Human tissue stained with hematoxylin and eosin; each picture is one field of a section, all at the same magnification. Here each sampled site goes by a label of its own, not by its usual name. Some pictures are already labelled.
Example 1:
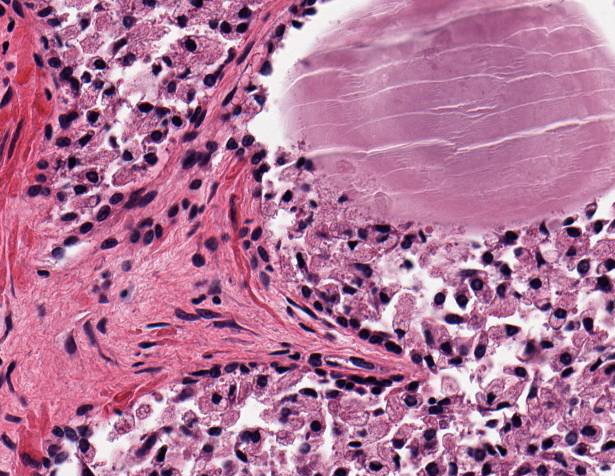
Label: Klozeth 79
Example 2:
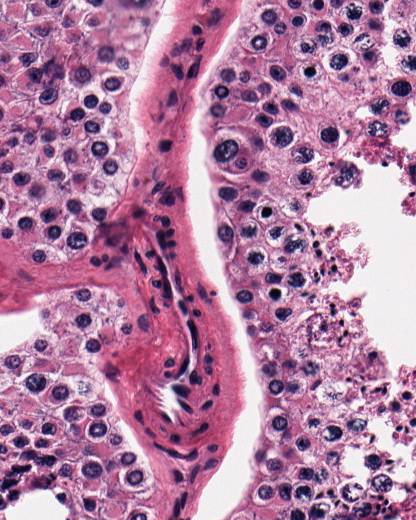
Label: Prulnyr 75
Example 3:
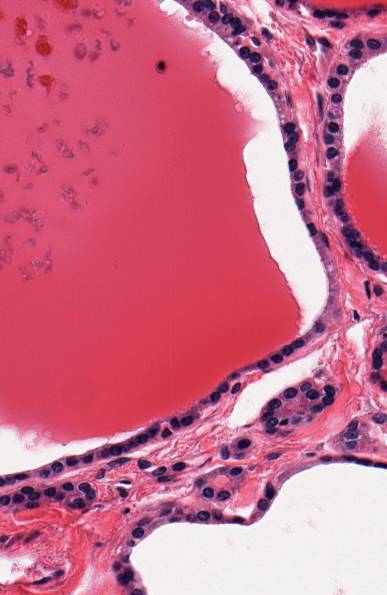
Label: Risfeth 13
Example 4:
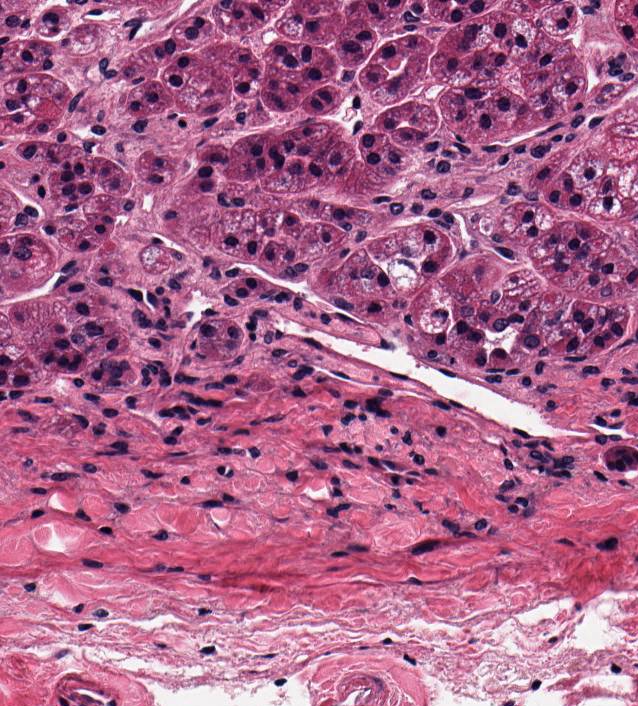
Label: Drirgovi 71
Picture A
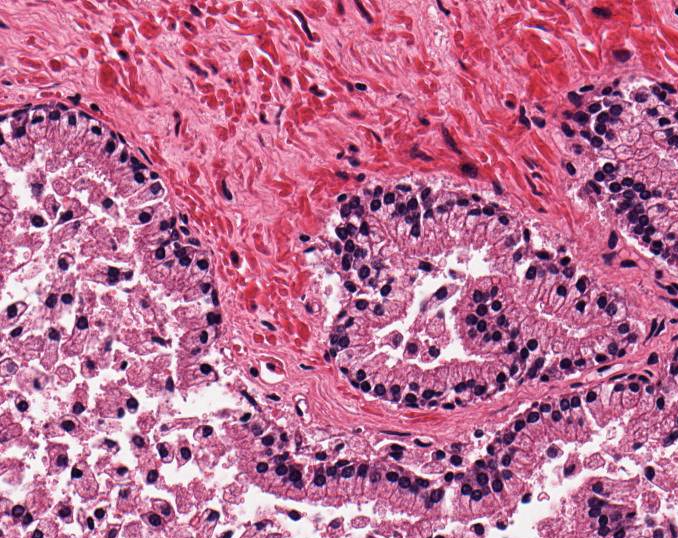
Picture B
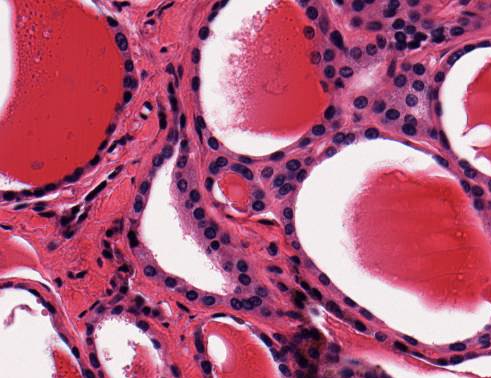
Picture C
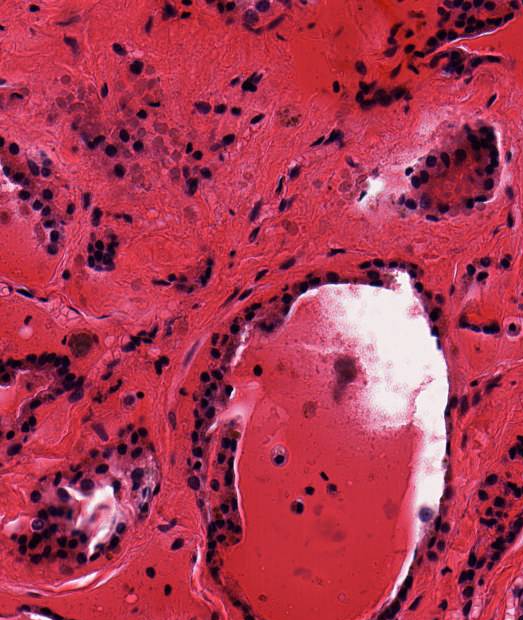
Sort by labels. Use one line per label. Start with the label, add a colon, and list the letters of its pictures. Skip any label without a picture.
Klozeth 79: A
Risfeth 13: B, C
